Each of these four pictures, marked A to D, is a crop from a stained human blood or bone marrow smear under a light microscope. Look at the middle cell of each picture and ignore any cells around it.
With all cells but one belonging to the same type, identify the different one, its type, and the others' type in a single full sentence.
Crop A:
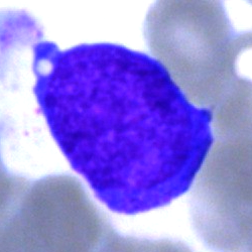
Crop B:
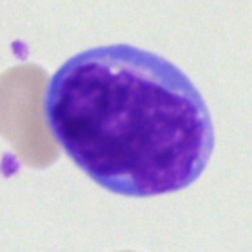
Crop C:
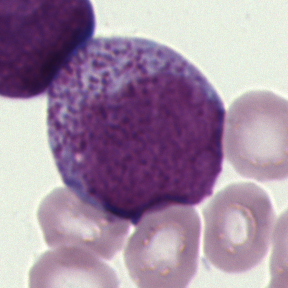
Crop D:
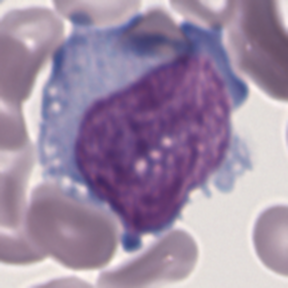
The exception in this group is crop C, a promyelocyte, and the others are all blasts.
